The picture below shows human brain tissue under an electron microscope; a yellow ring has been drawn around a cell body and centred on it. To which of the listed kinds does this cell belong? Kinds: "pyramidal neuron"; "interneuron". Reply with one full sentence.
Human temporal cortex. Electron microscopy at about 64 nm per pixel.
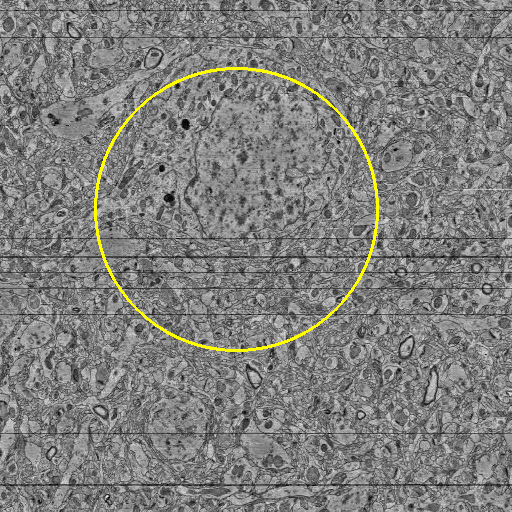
It is an interneuron that the yellow ring in the picture is centred on.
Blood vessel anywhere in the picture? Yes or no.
No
